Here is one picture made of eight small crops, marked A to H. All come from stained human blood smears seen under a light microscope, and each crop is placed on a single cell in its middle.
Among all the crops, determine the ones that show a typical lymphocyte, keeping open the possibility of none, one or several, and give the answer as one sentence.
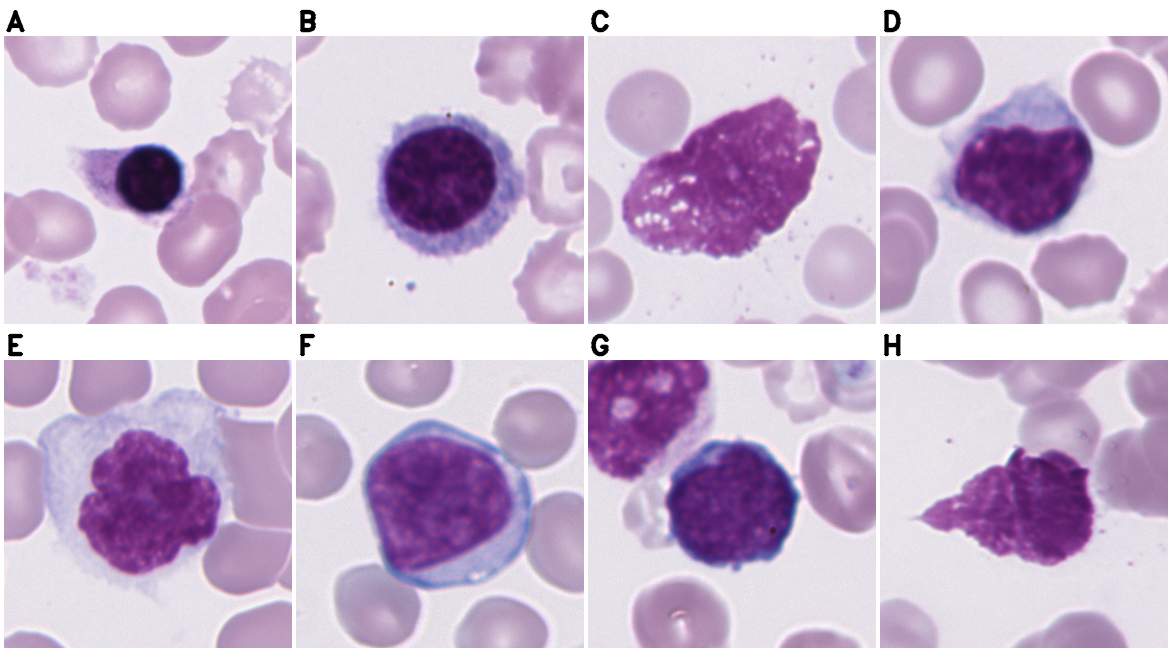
The crops include no central cell that is a typical lymphocyte.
